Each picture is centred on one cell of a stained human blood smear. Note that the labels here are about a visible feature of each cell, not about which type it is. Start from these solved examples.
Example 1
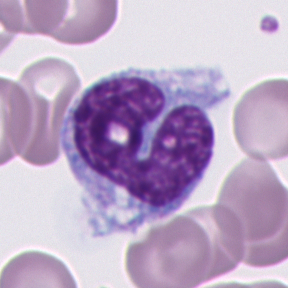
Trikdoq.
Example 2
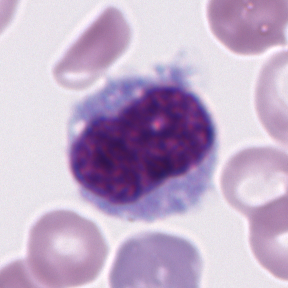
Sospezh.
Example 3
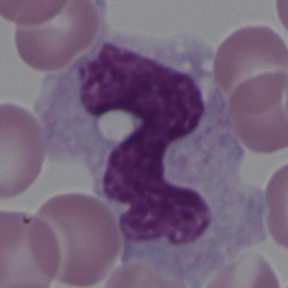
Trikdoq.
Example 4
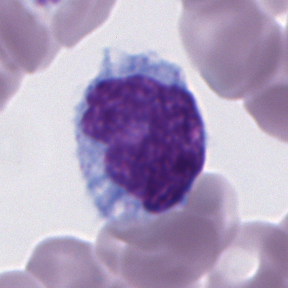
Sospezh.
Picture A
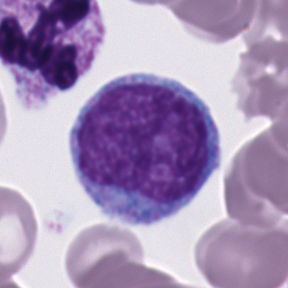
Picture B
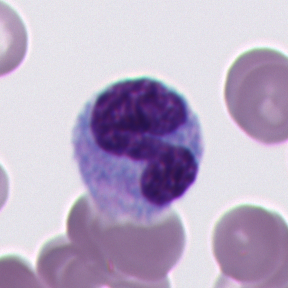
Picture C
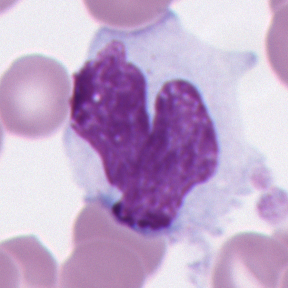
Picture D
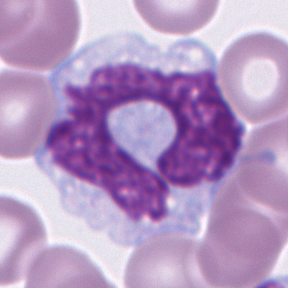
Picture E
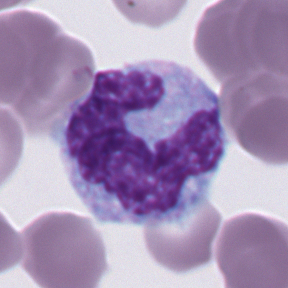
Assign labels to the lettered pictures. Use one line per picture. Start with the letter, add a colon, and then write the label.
A: Sospezh.
B: Trikdoq.
C: Trikdoq.
D: Trikdoq.
E: Trikdoq.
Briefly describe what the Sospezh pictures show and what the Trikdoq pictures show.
Sospezh: round or oval nucleus; Trikdoq: band-shaped nucleus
